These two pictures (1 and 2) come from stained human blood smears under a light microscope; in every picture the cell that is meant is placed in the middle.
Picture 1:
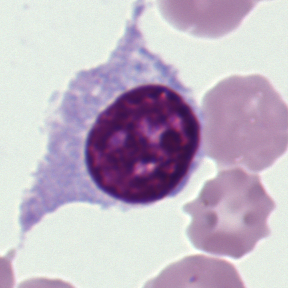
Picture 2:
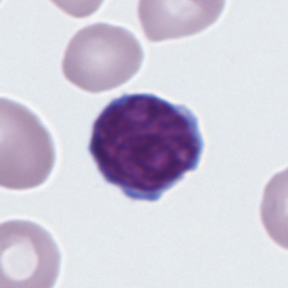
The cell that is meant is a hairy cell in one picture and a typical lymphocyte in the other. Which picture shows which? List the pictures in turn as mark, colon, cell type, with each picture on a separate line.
1: hairy cell
2: typical lymphocyte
